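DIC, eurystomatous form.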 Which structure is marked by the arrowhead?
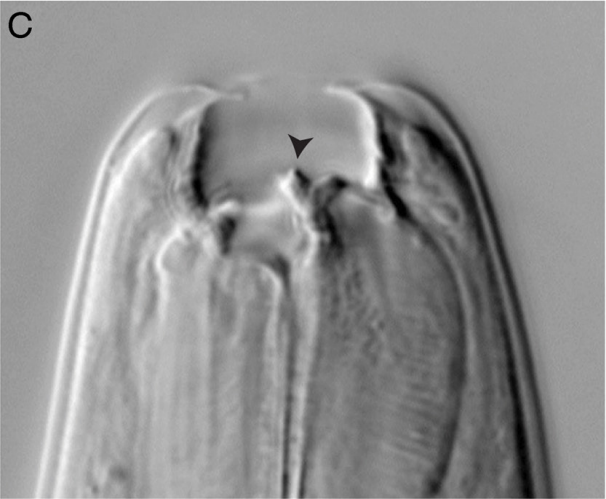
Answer: dorsal tooth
